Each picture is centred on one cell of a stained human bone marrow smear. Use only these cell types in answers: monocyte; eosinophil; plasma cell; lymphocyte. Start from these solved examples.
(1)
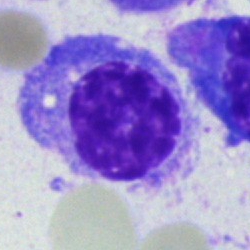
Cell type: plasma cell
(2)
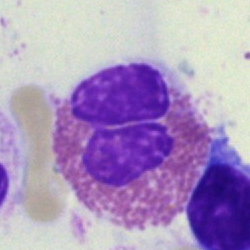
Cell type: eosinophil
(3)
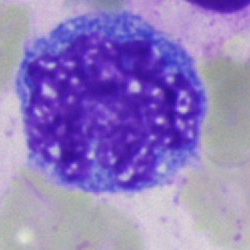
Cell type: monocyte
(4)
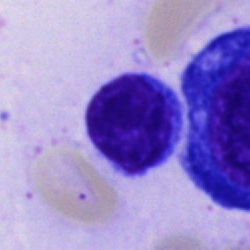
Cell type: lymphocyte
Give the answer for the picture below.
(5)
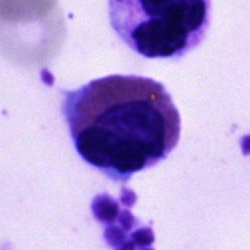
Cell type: eosinophil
